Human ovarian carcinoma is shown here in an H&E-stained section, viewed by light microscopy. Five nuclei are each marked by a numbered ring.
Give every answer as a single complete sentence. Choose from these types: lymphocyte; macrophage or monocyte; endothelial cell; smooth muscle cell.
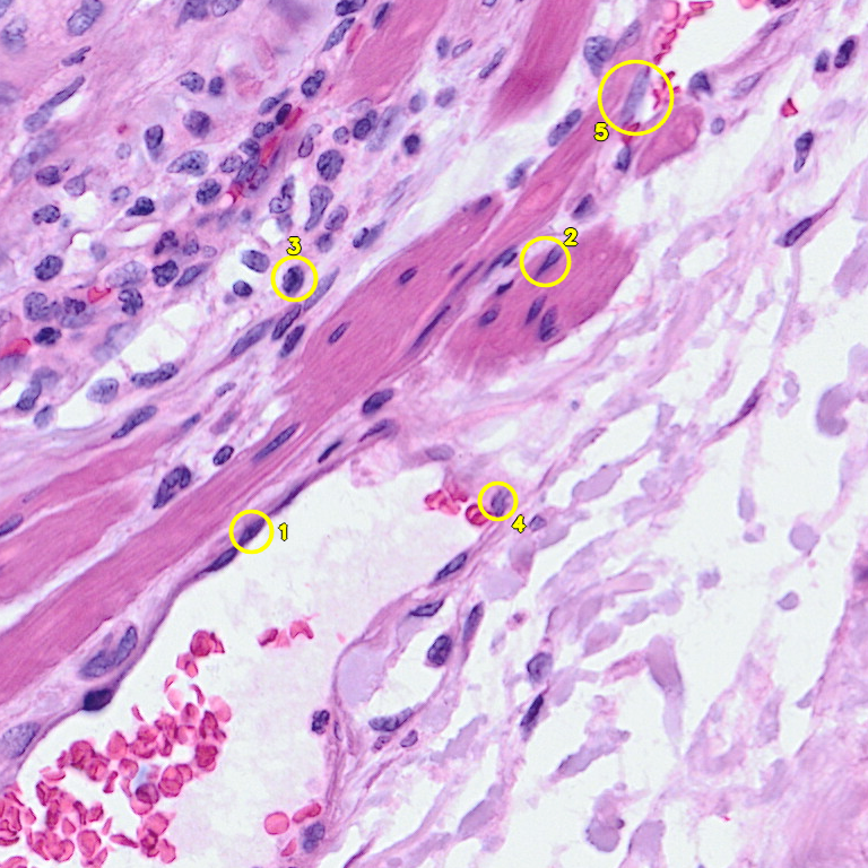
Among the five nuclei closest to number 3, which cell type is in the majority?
Most of the five nuclei nearest to number 3 are those of macrophages or monocytes.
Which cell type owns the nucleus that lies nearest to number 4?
The cell nearest to number 4 is a macrophage or monocyte.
